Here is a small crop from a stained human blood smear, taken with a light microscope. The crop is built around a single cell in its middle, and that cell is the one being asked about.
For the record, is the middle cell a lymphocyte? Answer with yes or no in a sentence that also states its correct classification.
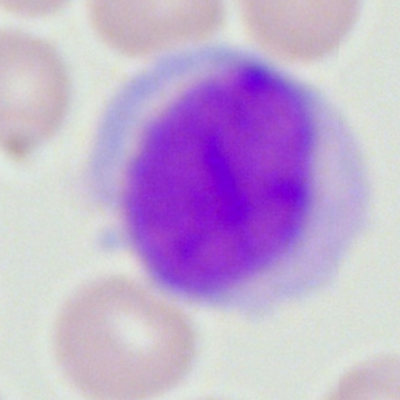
No, the cell at the centre is identified as a monocyte, not as a lymphocyte.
